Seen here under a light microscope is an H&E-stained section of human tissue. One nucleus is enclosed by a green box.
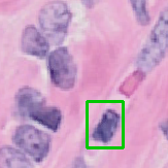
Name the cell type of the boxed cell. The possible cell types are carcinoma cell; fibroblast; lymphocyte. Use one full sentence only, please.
Students should answer that the boxed cell is a lymphocyte.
